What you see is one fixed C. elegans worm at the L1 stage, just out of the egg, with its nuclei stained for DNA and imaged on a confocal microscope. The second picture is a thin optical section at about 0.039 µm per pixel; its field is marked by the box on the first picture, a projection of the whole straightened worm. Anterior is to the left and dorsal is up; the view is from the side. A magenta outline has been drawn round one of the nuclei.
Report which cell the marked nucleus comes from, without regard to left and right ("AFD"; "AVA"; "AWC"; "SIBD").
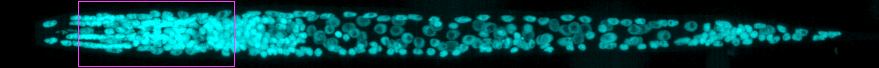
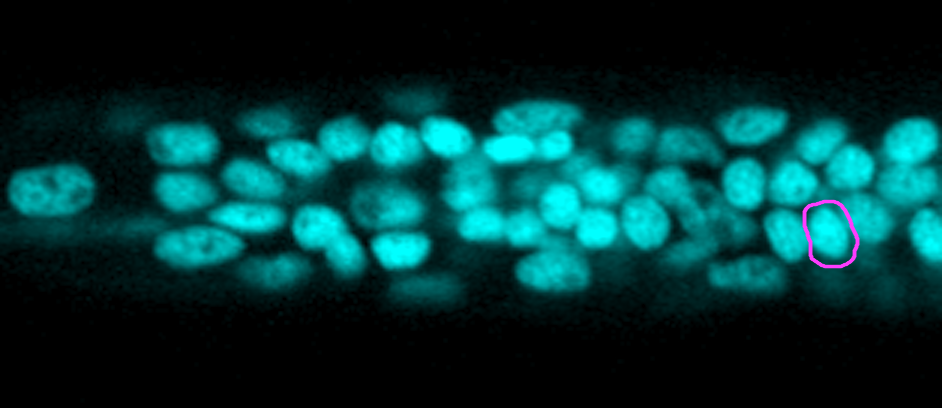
SIBD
